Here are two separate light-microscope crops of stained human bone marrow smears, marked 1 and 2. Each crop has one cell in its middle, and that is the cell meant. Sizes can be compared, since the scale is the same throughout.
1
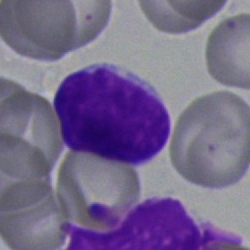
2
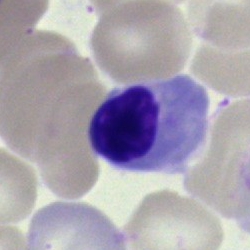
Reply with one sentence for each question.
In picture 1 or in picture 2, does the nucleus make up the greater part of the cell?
In picture 1 the nucleus takes up the larger part of its cell.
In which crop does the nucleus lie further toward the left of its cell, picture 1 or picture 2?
Seen within its cell, the nucleus in picture 2 lies further toward the left.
